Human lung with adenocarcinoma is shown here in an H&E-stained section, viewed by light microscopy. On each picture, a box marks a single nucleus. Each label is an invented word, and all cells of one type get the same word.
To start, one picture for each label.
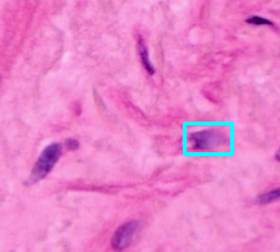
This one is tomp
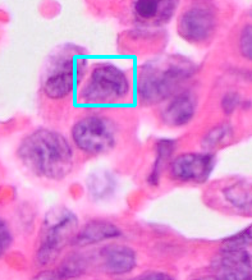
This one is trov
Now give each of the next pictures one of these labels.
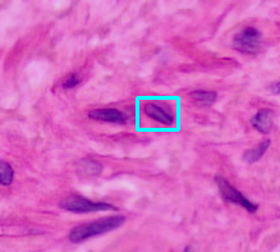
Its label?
tomp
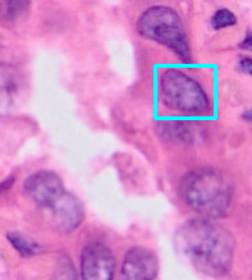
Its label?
trov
